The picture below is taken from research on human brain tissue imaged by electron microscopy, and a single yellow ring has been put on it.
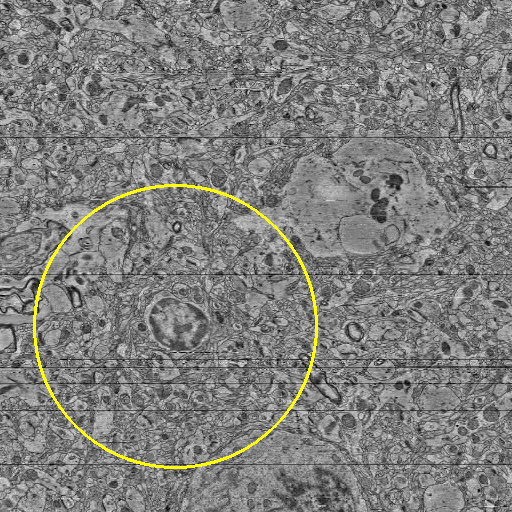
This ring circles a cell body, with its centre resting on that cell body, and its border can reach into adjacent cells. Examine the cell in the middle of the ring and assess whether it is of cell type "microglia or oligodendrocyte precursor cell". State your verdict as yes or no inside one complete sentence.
Yes, in the picture, the cell lying at the centre of the ring is of this type.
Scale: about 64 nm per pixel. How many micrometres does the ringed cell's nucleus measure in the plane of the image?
In this plane the nucleus measures roughly 4 by 3 micrometres.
